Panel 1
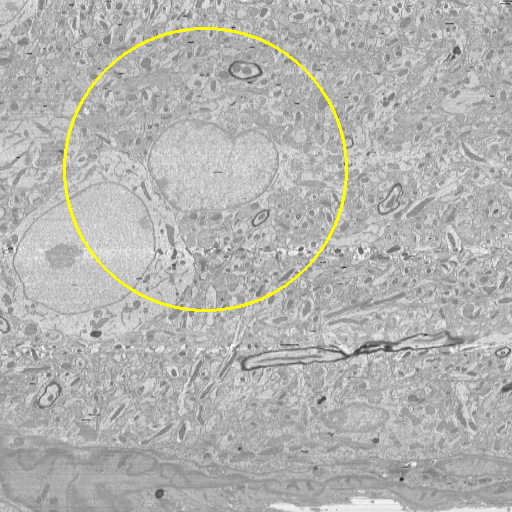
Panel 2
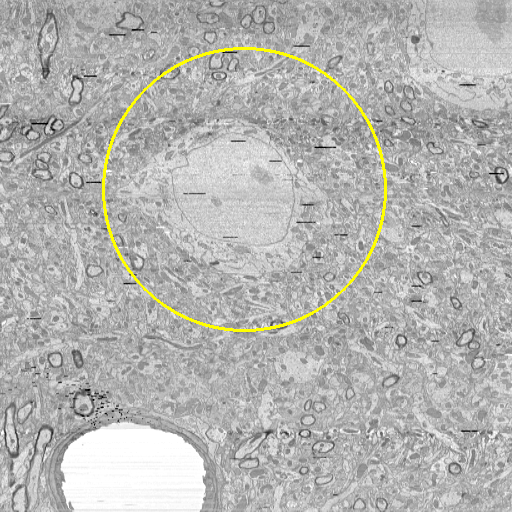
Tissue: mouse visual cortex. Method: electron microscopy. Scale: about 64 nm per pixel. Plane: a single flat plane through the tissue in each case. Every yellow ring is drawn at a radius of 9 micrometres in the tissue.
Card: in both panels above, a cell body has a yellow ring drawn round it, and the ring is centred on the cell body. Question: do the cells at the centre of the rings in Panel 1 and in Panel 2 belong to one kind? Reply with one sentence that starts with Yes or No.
No, the cells centred in the rings of Panel 1 and Panel 2 are two kinds of cell.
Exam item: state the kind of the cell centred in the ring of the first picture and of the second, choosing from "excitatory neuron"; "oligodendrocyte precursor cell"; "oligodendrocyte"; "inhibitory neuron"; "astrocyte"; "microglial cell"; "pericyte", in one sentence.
The first picture shows an astrocyte at the ring centre and the second shows an excitatory neuron.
